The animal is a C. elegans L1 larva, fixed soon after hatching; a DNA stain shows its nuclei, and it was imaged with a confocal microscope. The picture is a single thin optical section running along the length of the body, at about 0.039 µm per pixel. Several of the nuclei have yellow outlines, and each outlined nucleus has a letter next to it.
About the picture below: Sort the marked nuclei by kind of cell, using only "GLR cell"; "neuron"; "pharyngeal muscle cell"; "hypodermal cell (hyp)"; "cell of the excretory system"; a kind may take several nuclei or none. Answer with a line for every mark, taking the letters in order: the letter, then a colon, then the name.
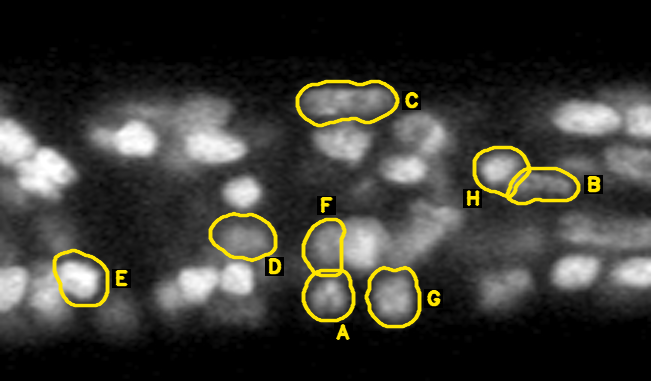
A: hypodermal cell (hyp)
B: pharyngeal muscle cell
C: hypodermal cell (hyp)
D: neuron
E: GLR cell
F: neuron
G: hypodermal cell (hyp)
H: neuron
